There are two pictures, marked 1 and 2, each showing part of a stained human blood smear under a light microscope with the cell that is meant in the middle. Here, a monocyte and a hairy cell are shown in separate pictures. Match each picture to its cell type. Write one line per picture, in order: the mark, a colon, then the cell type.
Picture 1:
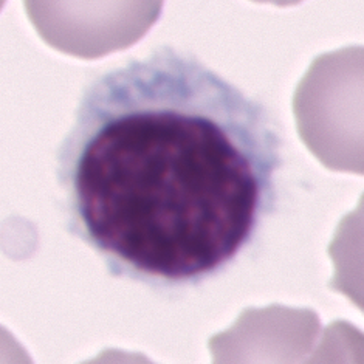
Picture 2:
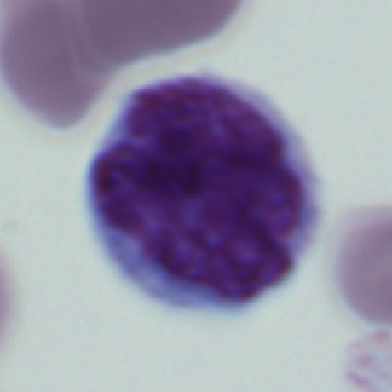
1: hairy cell
2: monocyte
